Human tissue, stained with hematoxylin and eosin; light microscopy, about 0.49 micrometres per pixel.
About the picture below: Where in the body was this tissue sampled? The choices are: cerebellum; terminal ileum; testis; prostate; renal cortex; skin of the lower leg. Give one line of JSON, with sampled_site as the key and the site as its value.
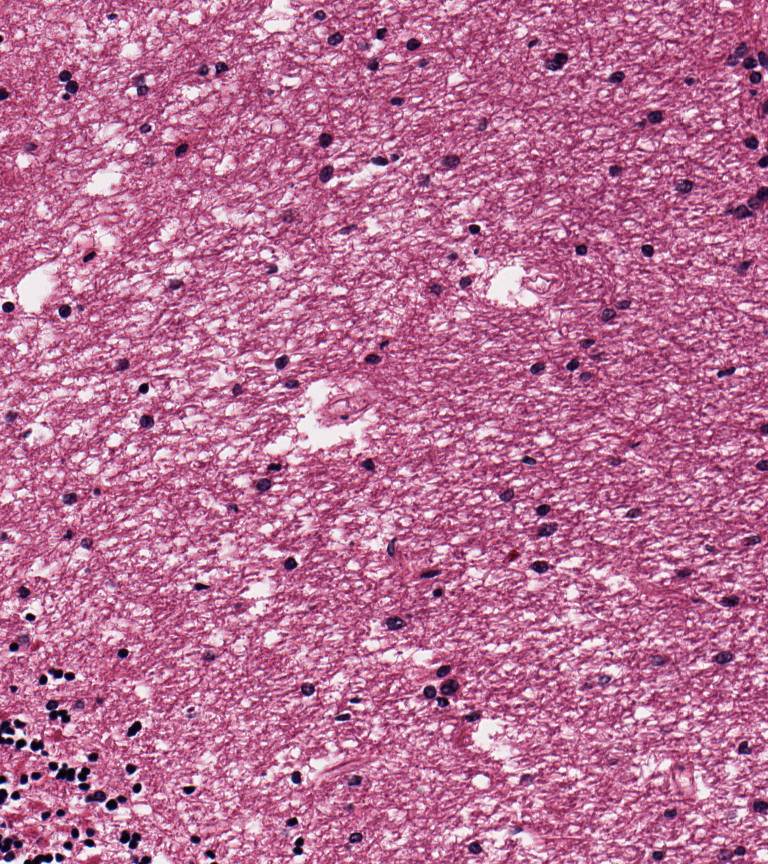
{"sampled_site": "cerebellum"}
